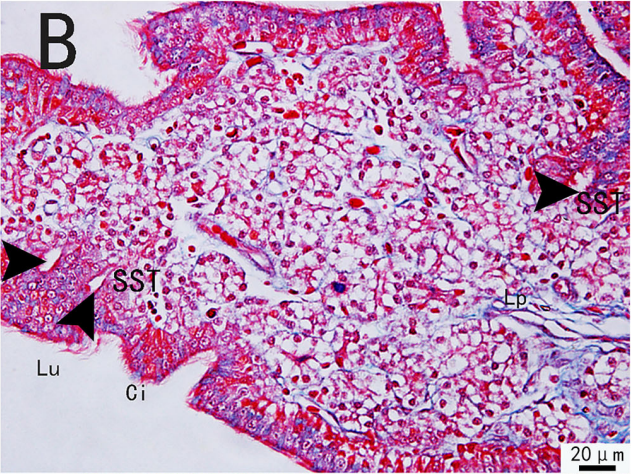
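A fold of the oviduct mucosa is covered by a ciliated columnar epithelium facing the lumen, beneath which lie many clusters of pale, vacuolated cells with small dark nuclei forming sperm storage tubules. Fine blue collagen fibres run between these clusters and gather in the lamina propria toward the base of the fold.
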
